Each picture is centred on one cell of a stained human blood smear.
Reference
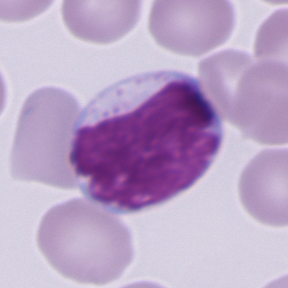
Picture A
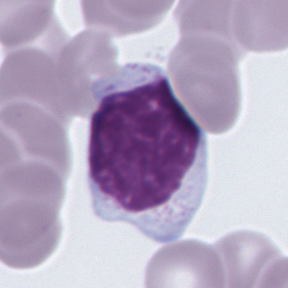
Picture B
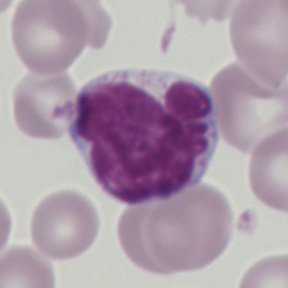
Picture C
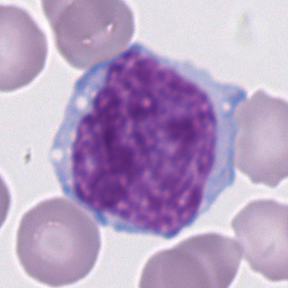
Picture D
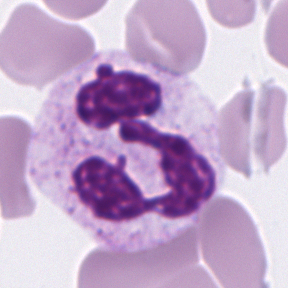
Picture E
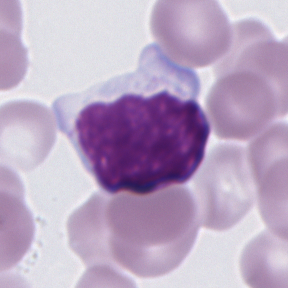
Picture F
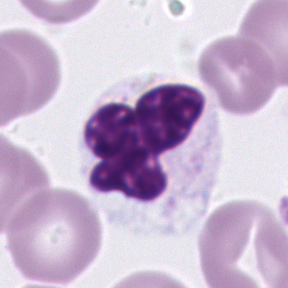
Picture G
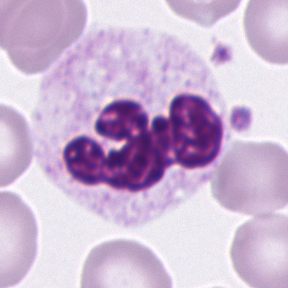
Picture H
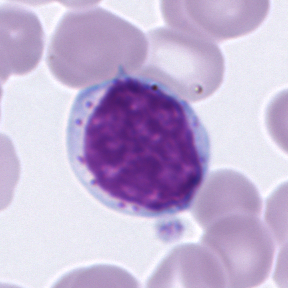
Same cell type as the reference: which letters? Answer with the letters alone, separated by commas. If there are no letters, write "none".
A, B, E, H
